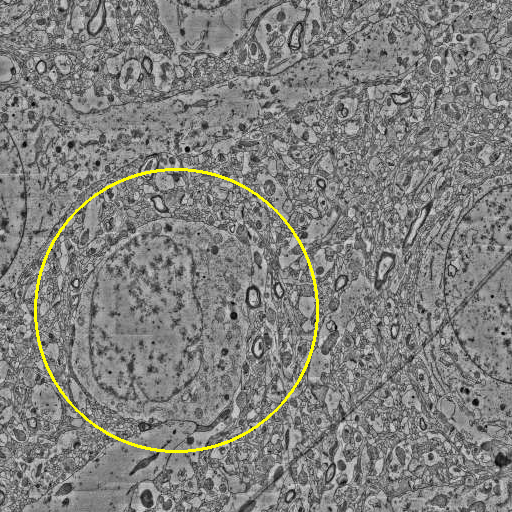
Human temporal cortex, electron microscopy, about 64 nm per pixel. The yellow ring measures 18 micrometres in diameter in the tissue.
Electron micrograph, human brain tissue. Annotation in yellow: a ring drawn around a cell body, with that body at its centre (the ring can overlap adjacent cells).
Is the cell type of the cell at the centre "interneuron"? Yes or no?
Yes, it is of that type.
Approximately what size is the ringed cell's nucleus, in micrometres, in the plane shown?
Roughly 11 micrometres by 7 micrometres, in this plane.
